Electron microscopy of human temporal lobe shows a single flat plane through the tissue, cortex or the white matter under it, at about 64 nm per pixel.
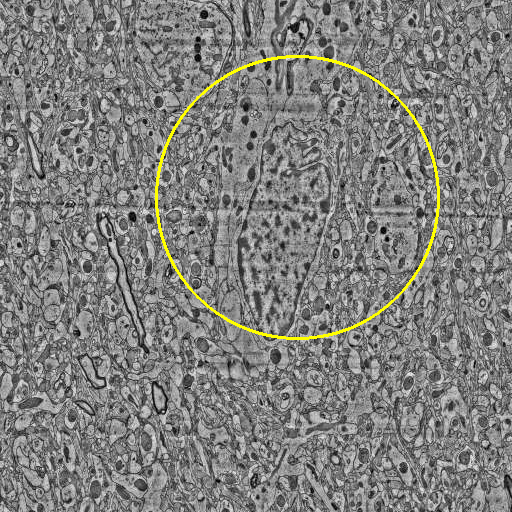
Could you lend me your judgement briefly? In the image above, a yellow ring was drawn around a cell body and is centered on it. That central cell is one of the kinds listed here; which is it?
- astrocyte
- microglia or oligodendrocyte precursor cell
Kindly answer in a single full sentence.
Going by the list, a microglial cell or oligodendrocyte precursor cell is the kind at the ring's center in the picture.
